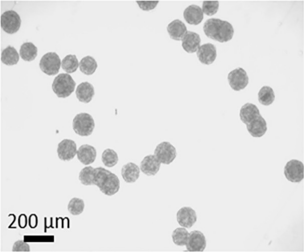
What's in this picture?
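Numerous small spheroids lie scattered over a pale, empty background. They are round to slightly oval, of fairly uniform size, and have smooth, well-defined outlines. Each appears as a compact grey body with a finely granular, somewhat mottled texture and no visible lumen. No large irregular masses or loose fragmented material are seen between them.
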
